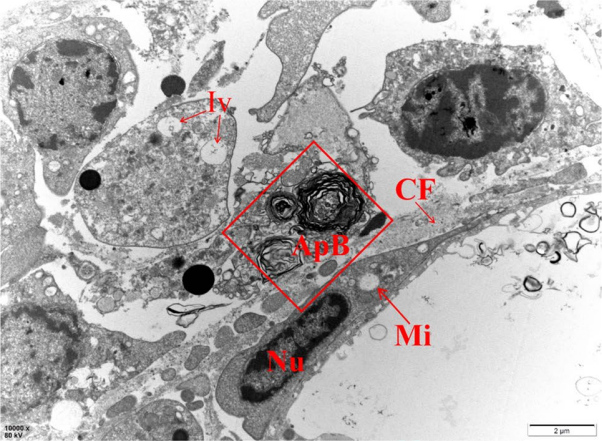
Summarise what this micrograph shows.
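Several cells have oval nuclei with dark heterochromatin clumped at the periphery and in patches. One rounded cell on the left contains small clear intracytoplasmic vacuoles in a granular cytoplasm. In the centre lie dense bodies made of concentric, whorled membranes. An elongated cell in the lower part carries a flattened nucleus, and thin collagenous fibres run along it. A few round, very dark dense bodies and small membranous fragments are scattered through the spaces between the cells.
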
